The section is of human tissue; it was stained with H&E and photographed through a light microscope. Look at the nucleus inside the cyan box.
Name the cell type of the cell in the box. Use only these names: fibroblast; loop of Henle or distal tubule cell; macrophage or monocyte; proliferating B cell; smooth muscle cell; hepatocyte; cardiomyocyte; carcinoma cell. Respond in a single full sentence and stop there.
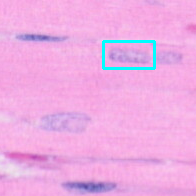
Speaking plainly, the cell in the box is nothing other than a cardiomyocyte.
